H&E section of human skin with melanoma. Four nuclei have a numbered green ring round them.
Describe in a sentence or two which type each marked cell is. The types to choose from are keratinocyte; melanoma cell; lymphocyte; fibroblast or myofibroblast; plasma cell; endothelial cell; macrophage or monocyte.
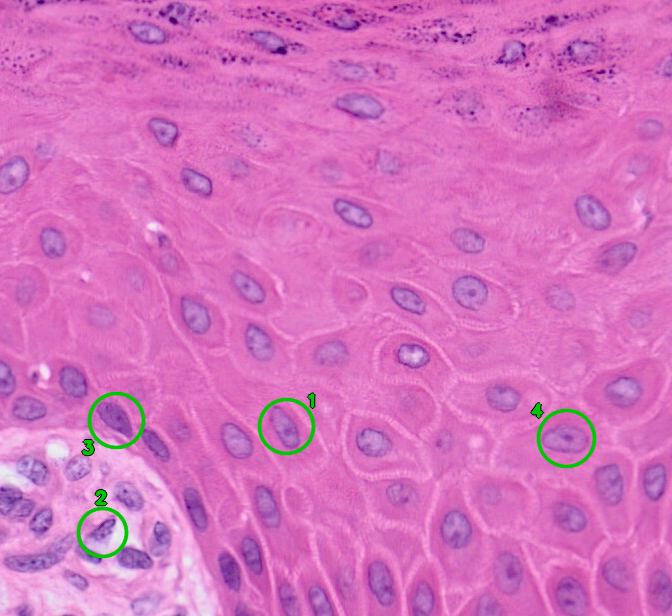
Cell 1 is a keratinocyte, cell 2 is an endothelial cell, cell 3 is a keratinocyte and cell 4 is a keratinocyte.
